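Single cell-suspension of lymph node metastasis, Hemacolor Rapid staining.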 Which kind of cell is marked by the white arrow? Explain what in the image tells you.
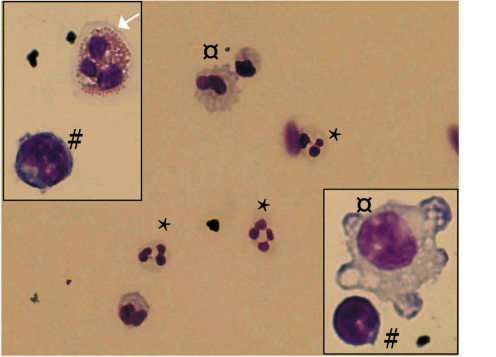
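Cell with a lobed nucleus. Cytoplasm packed with reddish-pink granules.
Eosinophils.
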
